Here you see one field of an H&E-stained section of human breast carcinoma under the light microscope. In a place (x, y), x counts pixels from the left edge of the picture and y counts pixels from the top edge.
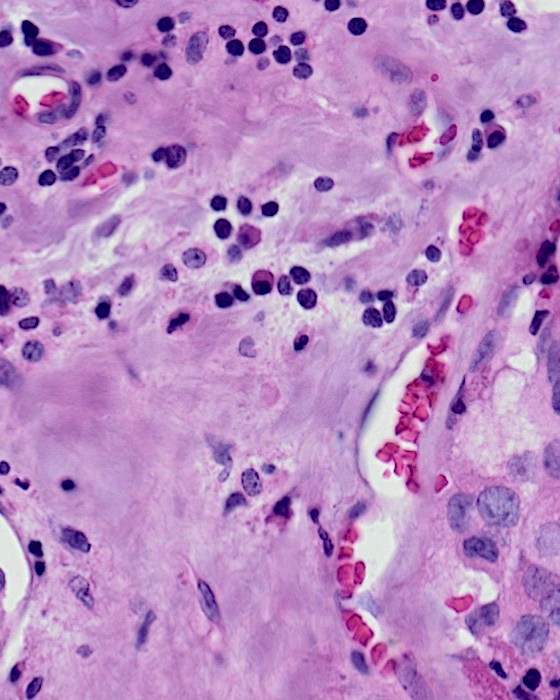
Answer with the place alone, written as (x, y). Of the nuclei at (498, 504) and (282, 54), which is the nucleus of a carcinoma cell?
(498, 504)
